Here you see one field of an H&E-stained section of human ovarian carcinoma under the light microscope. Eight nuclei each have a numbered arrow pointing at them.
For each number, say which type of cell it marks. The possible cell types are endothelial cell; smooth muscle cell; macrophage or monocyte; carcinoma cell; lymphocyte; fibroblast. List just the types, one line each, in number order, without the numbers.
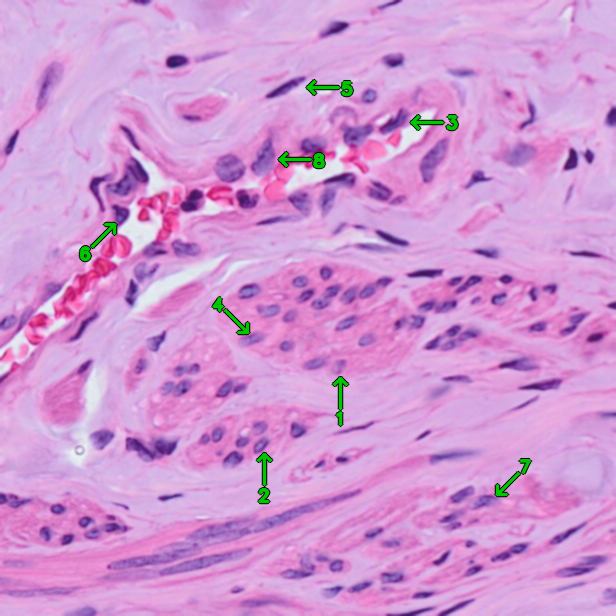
smooth muscle cell
smooth muscle cell
endothelial cell
smooth muscle cell
fibroblast
endothelial cell
smooth muscle cell
endothelial cell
